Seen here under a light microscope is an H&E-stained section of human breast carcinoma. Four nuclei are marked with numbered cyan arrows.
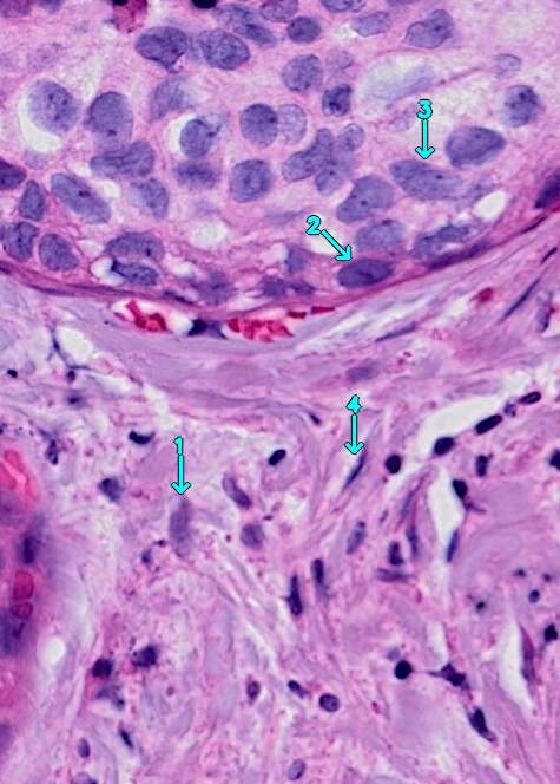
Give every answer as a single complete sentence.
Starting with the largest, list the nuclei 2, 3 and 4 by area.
From largest to smallest, the order is 3, 2, 4.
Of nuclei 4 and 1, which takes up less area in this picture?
Nucleus 4 covers less area, with nucleus 1 about 4 times as large.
